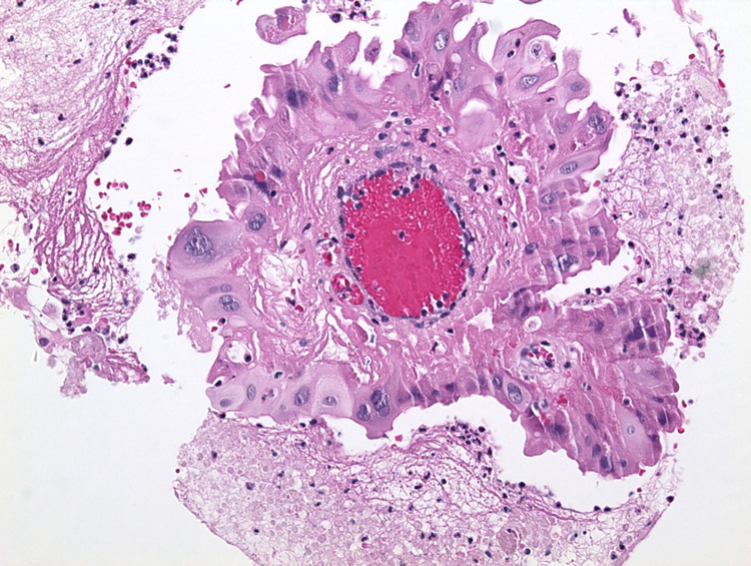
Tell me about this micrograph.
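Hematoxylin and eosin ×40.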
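This is a papillary projection of epithelium, cut across so that a central stromal core is surrounded by lining cells. At the centre, the core holds a vessel packed with red blood cells. It is ringed by small dark nuclei and loose pink stroma. The epithelial cells covering the core are large, with abundant, glassy, deep pink cytoplasm. Their nuclei are enlarged, oval to irregular and vary in size, and some show nucleoli. Their cells form a crowded, somewhat disorderly lining that frays outward at the edges. Pale, foamy debris and scattered inflammatory cells lie around the fragment.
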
